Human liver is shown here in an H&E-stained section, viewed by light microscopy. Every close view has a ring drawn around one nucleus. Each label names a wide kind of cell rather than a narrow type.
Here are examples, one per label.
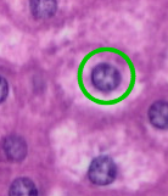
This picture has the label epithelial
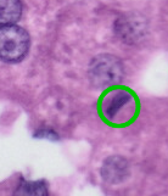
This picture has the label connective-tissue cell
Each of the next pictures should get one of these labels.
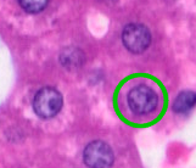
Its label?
epithelial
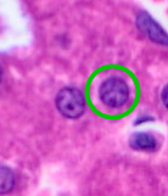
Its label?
epithelial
